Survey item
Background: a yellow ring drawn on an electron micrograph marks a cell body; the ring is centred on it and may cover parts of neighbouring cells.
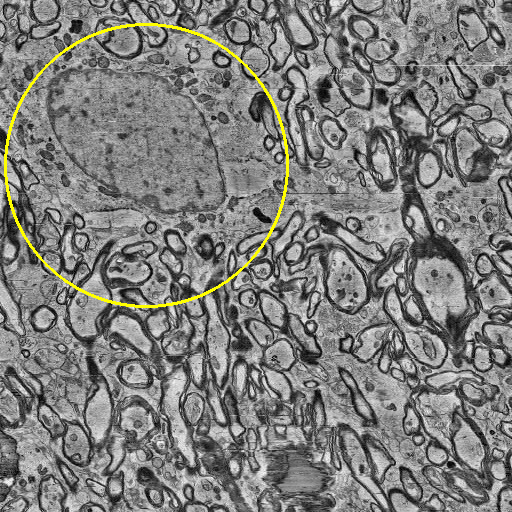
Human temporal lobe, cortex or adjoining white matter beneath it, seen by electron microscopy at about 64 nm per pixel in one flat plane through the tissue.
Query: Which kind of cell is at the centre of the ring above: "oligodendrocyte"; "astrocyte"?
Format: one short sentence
The cell in the middle of the ring is an astrocyte.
